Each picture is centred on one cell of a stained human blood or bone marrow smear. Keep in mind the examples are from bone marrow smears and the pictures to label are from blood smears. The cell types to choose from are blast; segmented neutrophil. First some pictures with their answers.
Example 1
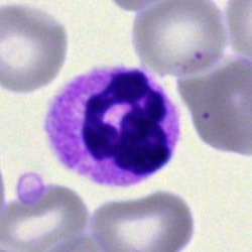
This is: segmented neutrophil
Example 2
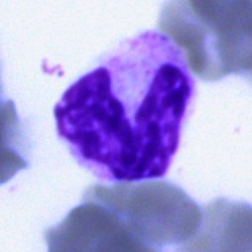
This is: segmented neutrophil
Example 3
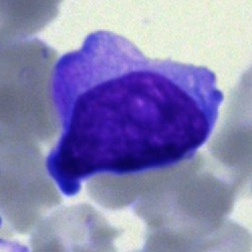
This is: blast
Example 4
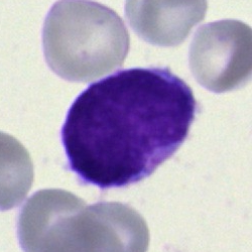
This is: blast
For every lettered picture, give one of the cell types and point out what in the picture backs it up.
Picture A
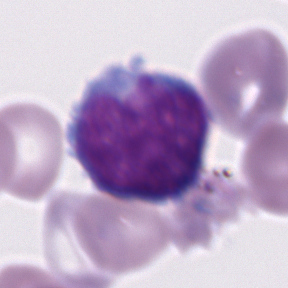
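blast: The cytoplasm is a thin blue rim, widest at the upper left.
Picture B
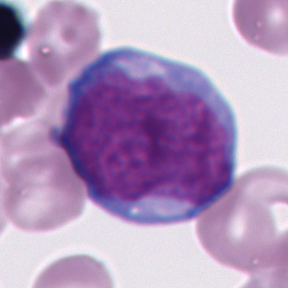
blast: The cytoplasm is a blue rim that is wider at the top and bottom than on the left side.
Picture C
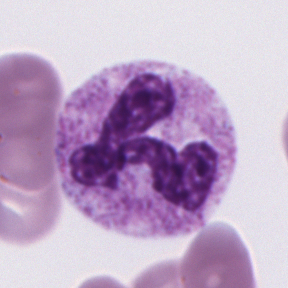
segmented neutrophil: The cytoplasm is abundant and pale pinkish-lilac.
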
